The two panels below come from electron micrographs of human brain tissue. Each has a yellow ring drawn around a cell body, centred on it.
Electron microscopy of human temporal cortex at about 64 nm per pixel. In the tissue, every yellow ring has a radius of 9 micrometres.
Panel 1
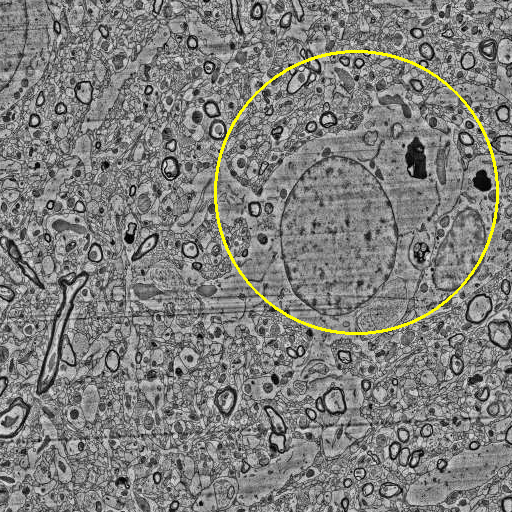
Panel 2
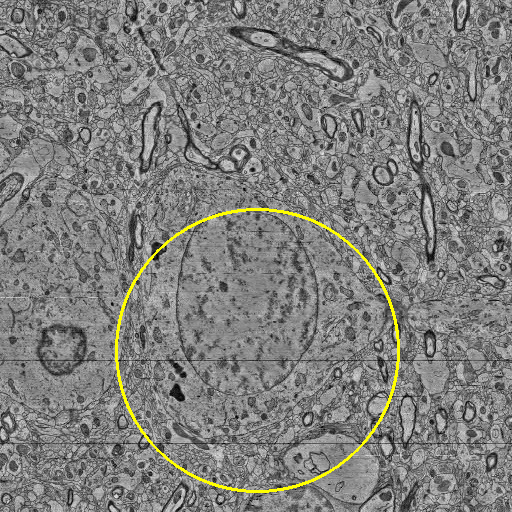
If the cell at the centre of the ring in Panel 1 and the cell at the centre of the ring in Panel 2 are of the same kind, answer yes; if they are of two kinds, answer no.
no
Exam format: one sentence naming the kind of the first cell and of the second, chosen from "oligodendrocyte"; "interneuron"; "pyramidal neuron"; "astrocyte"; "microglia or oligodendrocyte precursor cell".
The first picture's cell is an astrocyte, and the second picture's cell is a pyramidal neuron.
